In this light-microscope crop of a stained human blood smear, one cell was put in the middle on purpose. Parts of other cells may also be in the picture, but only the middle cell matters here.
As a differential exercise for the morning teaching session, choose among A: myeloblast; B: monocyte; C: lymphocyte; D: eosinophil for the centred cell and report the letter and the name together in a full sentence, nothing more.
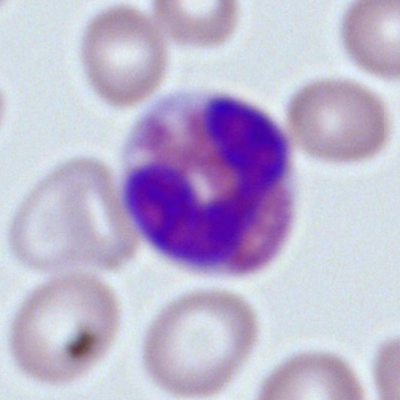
The correct option here is D; the middle cell is an eosinophil.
